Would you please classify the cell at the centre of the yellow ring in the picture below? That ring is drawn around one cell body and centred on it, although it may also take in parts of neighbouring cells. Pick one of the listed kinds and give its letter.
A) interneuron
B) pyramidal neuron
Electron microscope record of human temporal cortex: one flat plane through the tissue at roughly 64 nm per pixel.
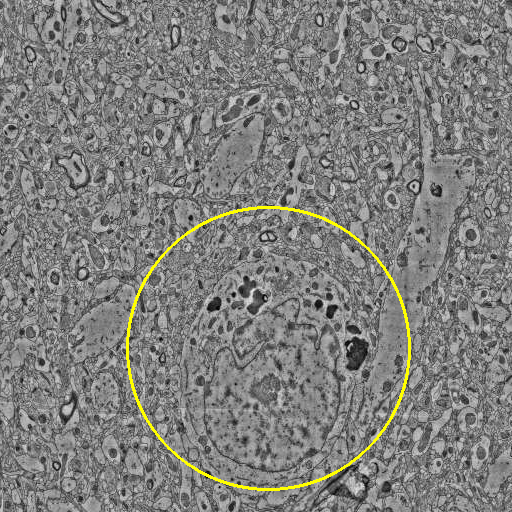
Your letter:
A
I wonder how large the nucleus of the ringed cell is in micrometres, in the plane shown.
In this plane, approximately 11 by 9 micrometers.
